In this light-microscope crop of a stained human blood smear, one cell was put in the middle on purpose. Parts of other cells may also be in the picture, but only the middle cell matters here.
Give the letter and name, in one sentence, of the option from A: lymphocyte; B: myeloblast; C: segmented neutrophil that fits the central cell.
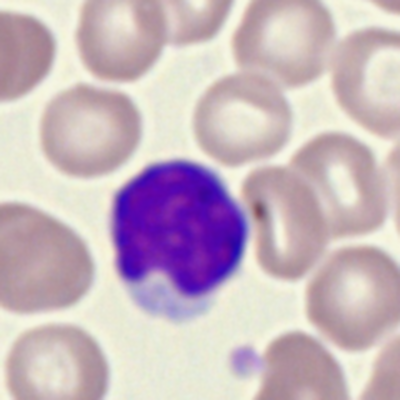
Option A is correct; the cell in the middle is a lymphocyte.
